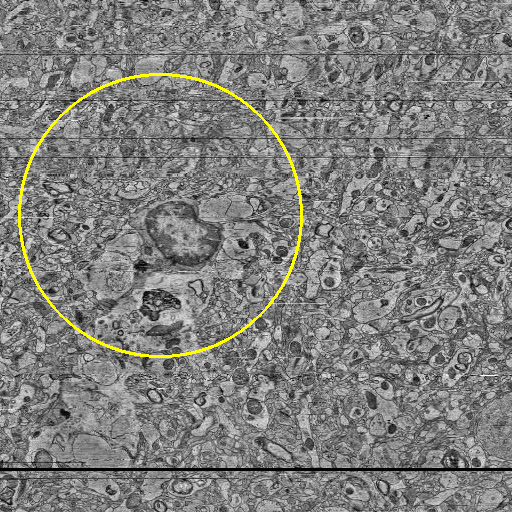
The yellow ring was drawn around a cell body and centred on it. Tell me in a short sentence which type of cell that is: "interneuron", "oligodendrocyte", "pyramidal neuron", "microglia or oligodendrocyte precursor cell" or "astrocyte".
The cell at the ring's centre is an oligodendrocyte.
